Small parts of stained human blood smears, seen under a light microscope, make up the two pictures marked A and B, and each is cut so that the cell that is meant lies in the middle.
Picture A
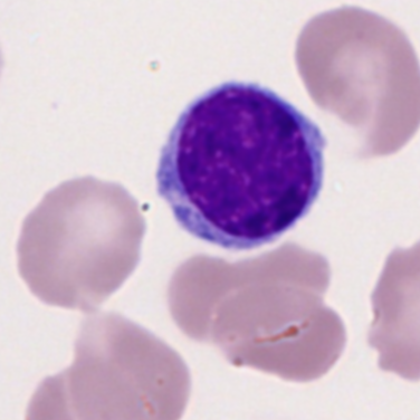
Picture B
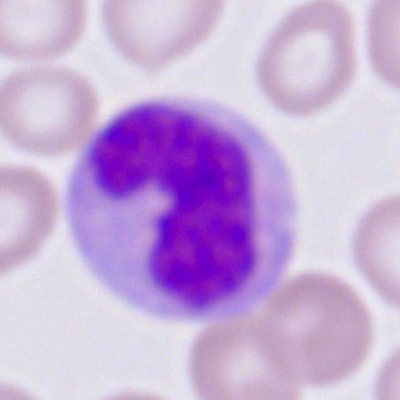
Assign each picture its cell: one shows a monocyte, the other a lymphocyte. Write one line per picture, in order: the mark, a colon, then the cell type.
A: lymphocyte
B: monocyte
